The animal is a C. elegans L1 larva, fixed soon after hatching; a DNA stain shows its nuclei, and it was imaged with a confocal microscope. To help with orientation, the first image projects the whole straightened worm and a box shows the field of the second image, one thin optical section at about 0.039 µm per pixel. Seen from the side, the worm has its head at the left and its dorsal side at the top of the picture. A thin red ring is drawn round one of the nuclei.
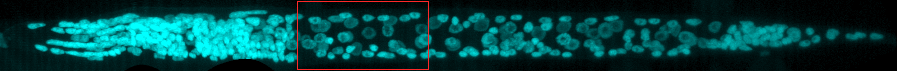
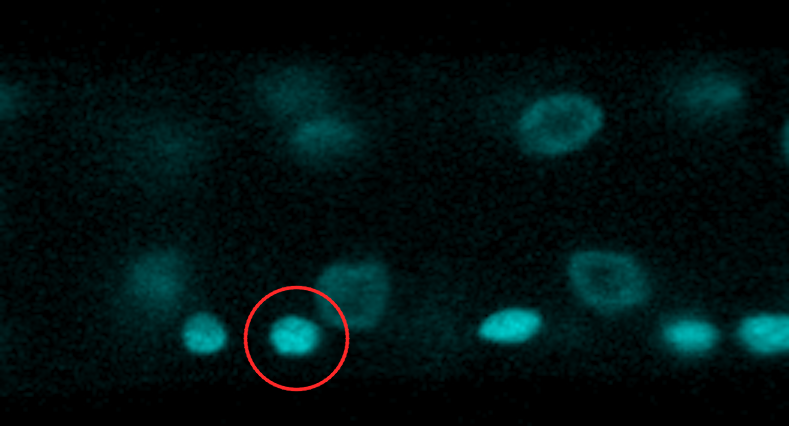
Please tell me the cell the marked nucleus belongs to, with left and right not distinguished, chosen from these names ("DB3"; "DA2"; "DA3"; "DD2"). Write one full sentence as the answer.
It belongs to DA2, a neuron.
